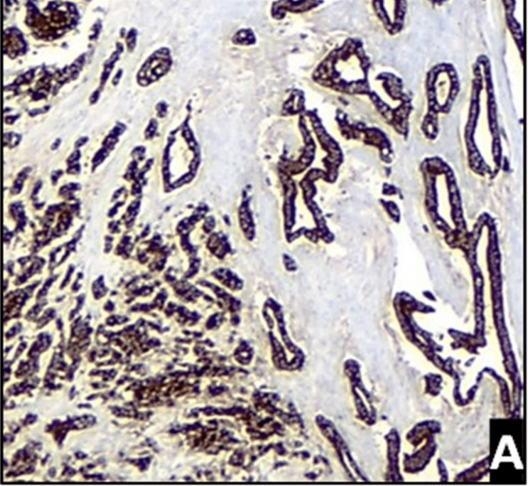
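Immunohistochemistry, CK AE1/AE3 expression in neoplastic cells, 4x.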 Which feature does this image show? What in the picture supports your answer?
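Tubular structures. On the right, elongated and branching tubules with open lumens. The tubules are lined by a brown-stained epithelial layer set in pale fibrous stroma.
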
